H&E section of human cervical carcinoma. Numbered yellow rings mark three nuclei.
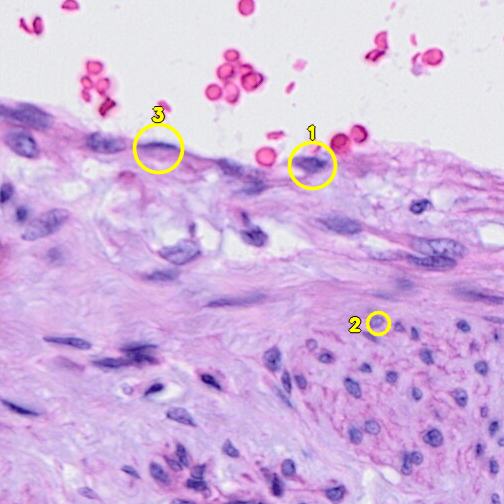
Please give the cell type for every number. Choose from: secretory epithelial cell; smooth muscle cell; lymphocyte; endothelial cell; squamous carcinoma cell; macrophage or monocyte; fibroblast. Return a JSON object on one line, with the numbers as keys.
{"1": "endothelial cell", "2": "smooth muscle cell", "3": "endothelial cell"}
